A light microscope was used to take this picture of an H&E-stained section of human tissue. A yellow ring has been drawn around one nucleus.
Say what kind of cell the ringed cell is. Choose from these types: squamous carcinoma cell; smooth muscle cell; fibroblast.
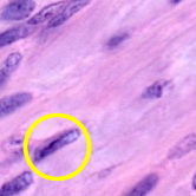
fibroblast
